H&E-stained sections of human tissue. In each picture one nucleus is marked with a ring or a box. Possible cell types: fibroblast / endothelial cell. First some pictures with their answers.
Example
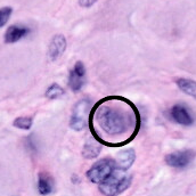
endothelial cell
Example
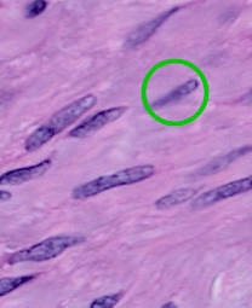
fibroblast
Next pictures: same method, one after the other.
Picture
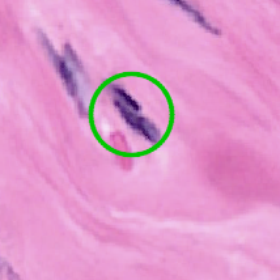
endothelial cell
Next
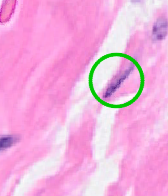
fibroblast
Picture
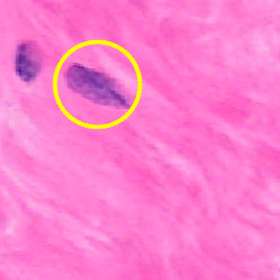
fibroblast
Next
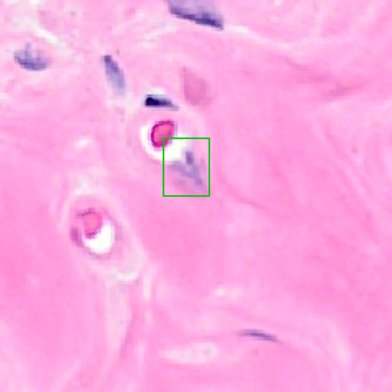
endothelial cell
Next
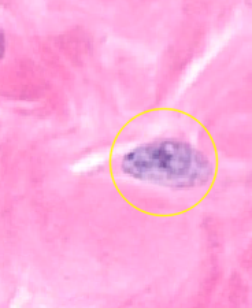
fibroblast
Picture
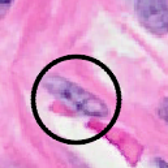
endothelial cell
